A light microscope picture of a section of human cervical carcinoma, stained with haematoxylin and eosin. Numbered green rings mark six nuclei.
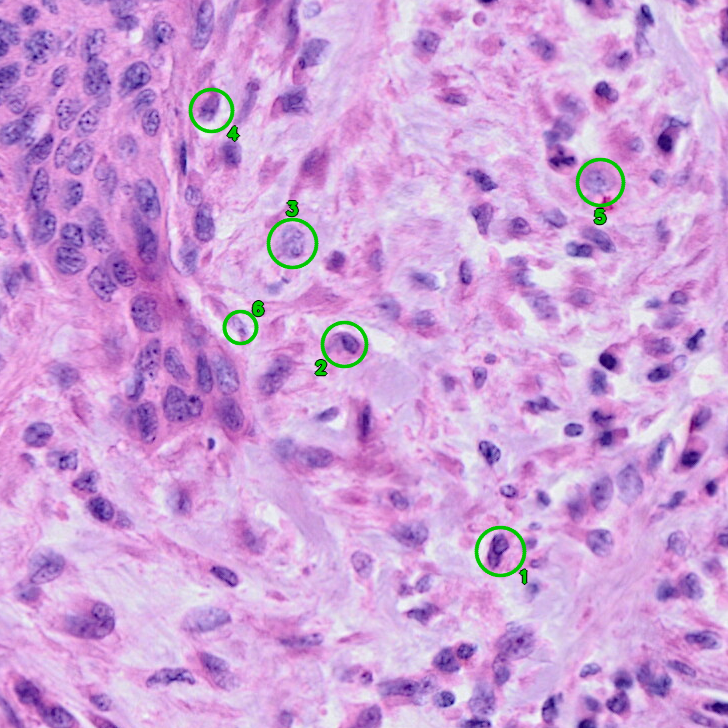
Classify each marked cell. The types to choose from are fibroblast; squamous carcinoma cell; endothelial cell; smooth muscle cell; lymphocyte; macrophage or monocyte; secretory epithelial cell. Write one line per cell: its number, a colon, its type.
1: macrophage or monocyte
2: macrophage or monocyte
3: fibroblast
4: macrophage or monocyte
5: endothelial cell
6: fibroblast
